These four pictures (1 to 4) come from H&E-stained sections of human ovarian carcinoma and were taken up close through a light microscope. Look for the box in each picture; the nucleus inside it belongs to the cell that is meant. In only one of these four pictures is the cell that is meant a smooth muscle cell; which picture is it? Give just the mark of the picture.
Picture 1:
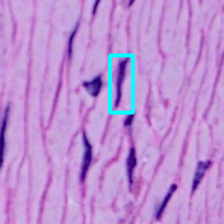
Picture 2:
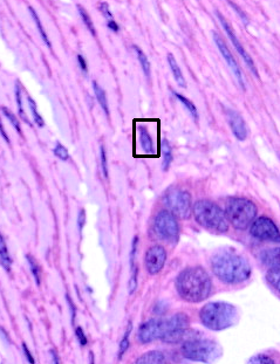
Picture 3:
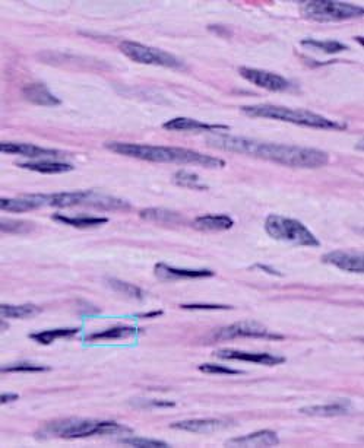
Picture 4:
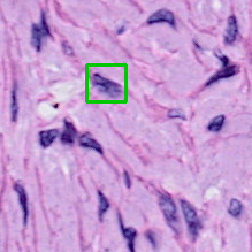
3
